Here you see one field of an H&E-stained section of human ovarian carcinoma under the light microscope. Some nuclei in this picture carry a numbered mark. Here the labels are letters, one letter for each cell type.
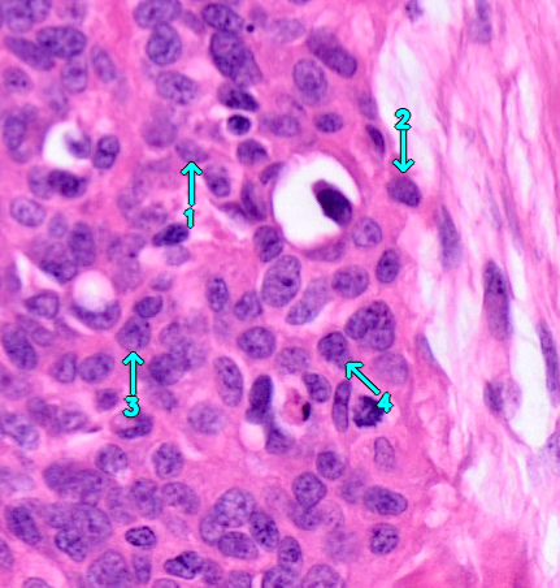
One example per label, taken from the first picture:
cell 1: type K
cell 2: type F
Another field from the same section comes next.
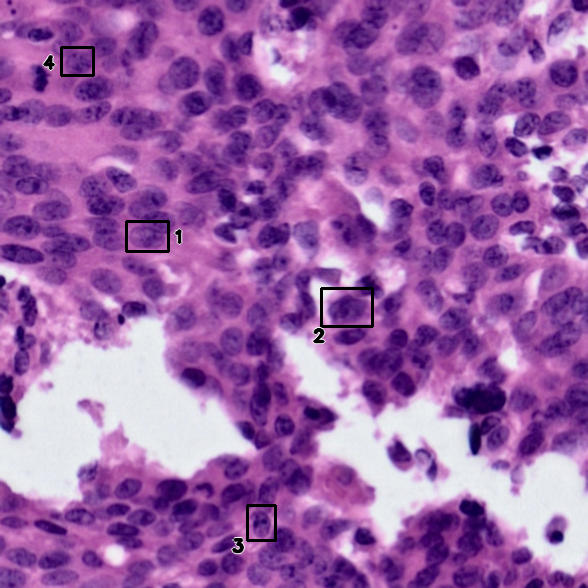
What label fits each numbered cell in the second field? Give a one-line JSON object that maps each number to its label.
{"1": "type K", "2": "type K", "3": "type F", "4": "type K"}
